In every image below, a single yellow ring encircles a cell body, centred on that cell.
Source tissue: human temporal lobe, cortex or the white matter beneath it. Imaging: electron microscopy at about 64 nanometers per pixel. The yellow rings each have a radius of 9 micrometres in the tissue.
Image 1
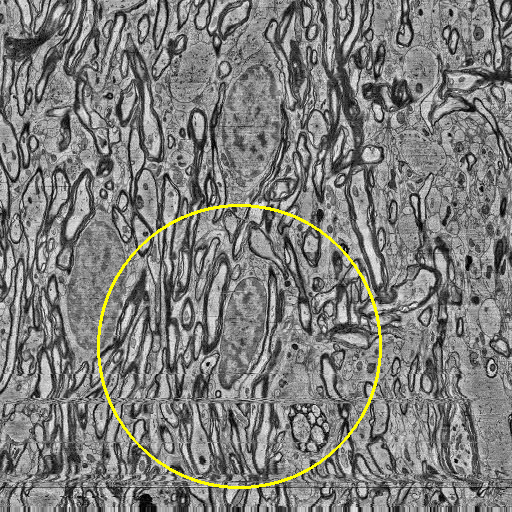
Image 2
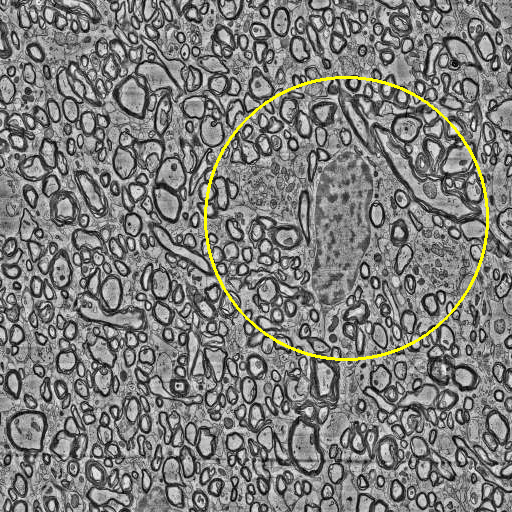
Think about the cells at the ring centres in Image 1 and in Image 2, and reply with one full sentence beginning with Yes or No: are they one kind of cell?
Yes, the cells centred in the rings of Image 1 and Image 2 are one kind of cell.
